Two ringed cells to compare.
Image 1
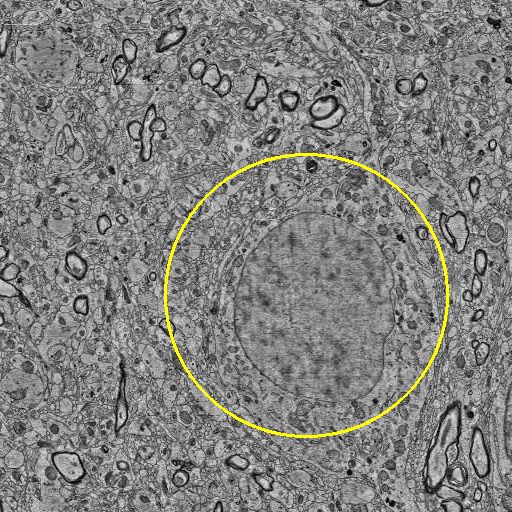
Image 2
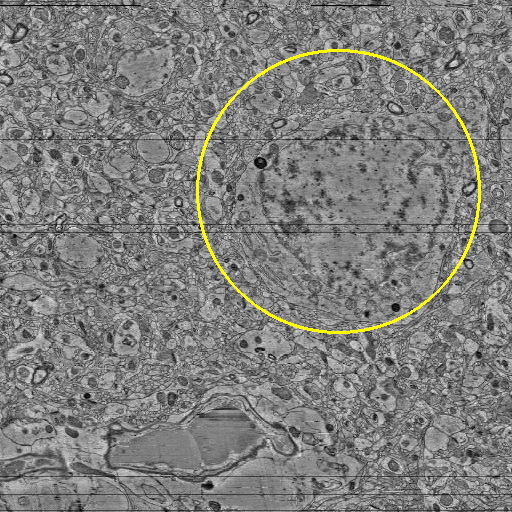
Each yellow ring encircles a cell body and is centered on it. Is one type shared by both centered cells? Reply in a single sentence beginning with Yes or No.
Yes, a single type is shared by the two cells at the centers of the rings.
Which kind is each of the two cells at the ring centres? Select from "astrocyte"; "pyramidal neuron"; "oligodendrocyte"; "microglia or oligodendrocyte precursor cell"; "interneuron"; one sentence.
Each of the two pictures has an interneuron at the ring centre.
